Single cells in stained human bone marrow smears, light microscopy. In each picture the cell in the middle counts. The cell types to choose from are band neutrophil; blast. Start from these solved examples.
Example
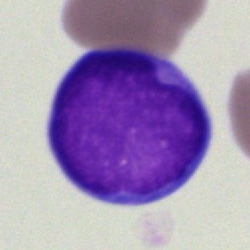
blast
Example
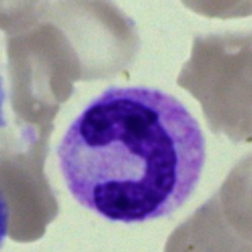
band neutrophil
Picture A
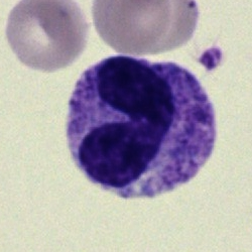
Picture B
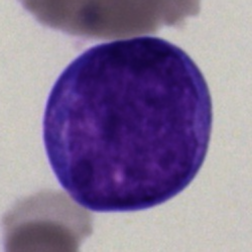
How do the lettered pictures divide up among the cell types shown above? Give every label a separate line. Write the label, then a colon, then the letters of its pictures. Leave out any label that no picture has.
band neutrophil: A
blast: B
